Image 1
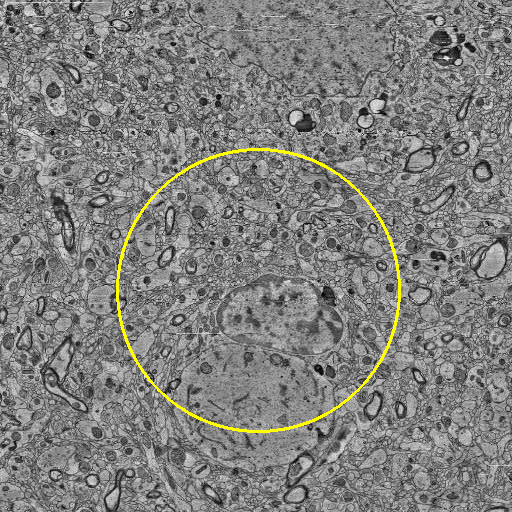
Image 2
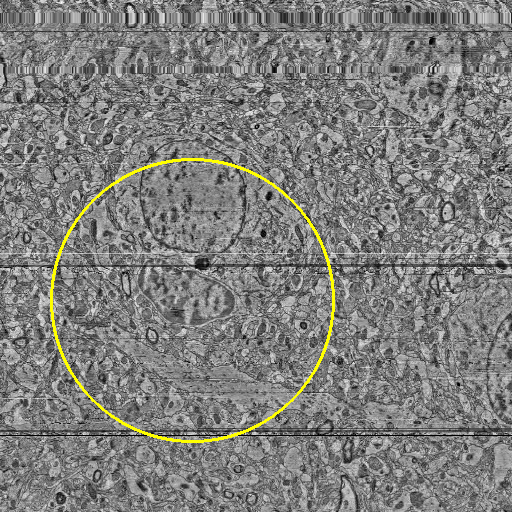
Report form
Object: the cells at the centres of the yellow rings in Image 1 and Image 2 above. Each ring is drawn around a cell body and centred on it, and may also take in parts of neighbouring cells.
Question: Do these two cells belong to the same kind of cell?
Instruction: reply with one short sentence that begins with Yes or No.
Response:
Yes, both belong to the same kind of cell.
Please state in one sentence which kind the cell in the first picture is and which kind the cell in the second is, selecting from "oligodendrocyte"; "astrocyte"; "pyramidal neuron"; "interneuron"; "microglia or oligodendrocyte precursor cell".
Both rings mark a microglial cell or oligodendrocyte precursor cell, one in each picture.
